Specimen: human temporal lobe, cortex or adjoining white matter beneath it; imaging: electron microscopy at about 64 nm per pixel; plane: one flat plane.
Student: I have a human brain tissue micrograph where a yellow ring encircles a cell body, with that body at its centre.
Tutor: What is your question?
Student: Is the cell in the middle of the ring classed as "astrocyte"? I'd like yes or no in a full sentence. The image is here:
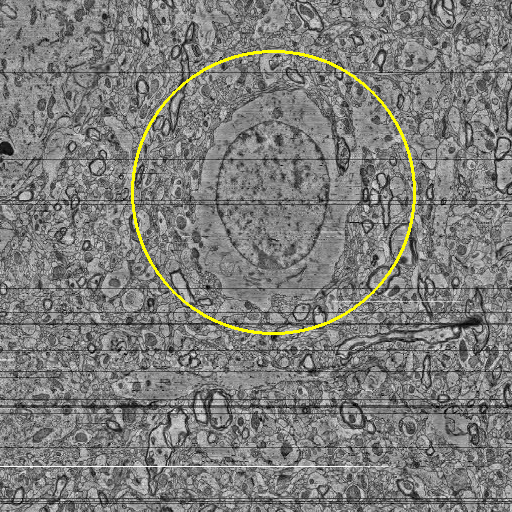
Yes, the cell in the middle of the ring is classed as that kind.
